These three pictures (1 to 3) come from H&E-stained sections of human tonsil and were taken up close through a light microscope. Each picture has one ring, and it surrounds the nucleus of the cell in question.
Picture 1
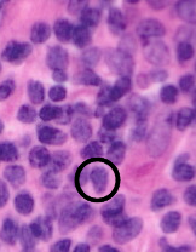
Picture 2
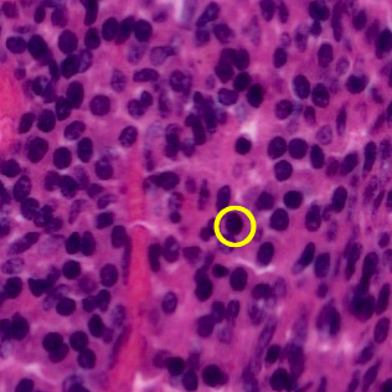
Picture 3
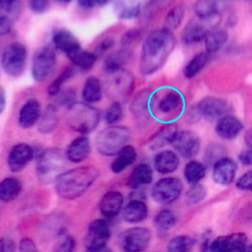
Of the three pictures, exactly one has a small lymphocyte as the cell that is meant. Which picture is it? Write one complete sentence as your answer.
It is picture 1 that shows the small lymphocyte.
